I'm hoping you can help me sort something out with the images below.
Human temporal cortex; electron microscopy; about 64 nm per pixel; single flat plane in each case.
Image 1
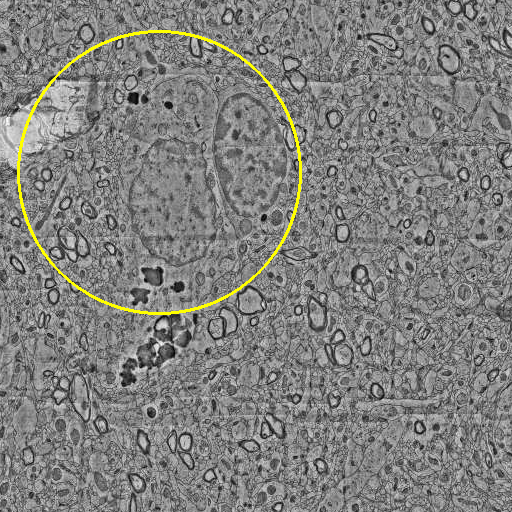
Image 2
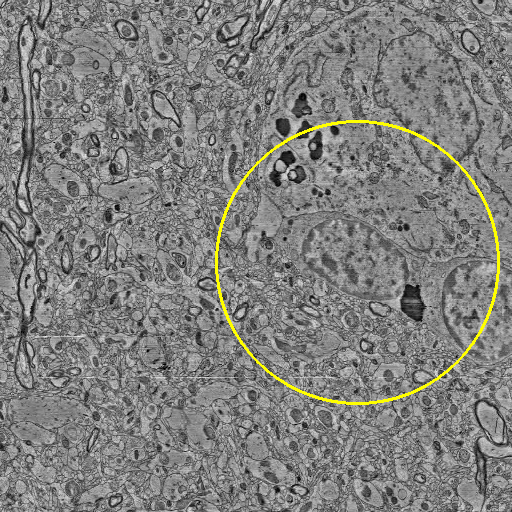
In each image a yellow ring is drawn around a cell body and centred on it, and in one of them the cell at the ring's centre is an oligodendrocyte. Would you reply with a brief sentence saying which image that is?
In Image 2, the cell at the centre of the ring is the one you asked about.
